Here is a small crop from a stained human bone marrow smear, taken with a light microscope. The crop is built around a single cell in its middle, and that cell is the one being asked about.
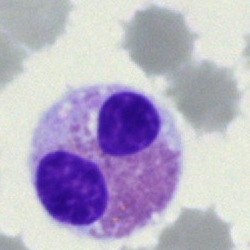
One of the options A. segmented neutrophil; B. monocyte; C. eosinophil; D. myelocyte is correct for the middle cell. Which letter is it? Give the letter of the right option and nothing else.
C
